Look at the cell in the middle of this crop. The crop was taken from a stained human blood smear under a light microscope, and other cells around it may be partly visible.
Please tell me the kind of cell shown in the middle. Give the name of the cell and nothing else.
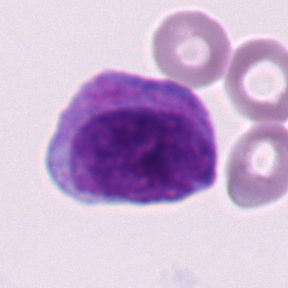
atypical promyelocyte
